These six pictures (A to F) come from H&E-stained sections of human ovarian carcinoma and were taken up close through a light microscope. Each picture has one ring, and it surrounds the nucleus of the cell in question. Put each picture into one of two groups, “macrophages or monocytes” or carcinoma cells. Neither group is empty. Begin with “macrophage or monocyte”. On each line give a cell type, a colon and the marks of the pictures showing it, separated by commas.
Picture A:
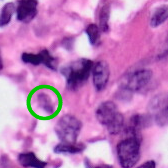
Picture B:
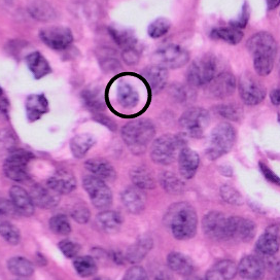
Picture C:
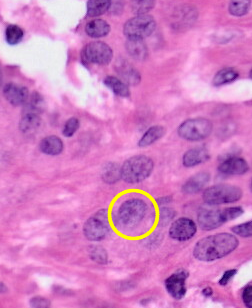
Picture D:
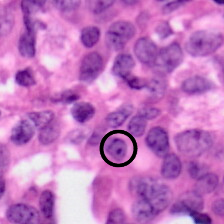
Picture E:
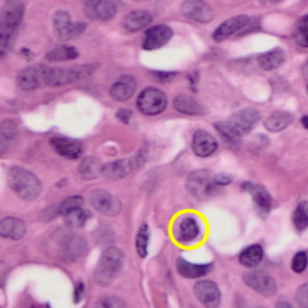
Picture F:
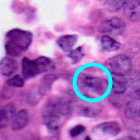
macrophage or monocyte: A, B, D, E
carcinoma cell: C, F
